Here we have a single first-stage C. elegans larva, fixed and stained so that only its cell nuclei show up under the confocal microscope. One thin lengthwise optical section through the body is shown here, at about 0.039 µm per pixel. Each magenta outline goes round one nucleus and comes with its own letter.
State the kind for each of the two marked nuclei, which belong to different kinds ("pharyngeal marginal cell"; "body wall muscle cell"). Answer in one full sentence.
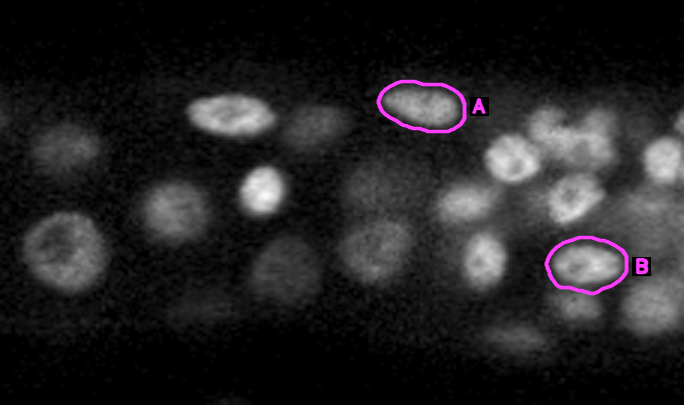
Nucleus A comes from a body wall muscle cell and nucleus B from a pharyngeal marginal cell.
